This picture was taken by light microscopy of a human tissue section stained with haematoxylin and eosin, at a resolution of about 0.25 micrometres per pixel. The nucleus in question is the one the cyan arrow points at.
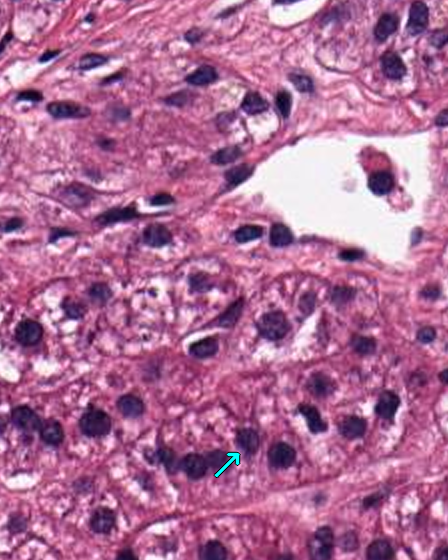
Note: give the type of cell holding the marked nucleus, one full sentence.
Here the marked nucleus is part of an adrenal cortical cell.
